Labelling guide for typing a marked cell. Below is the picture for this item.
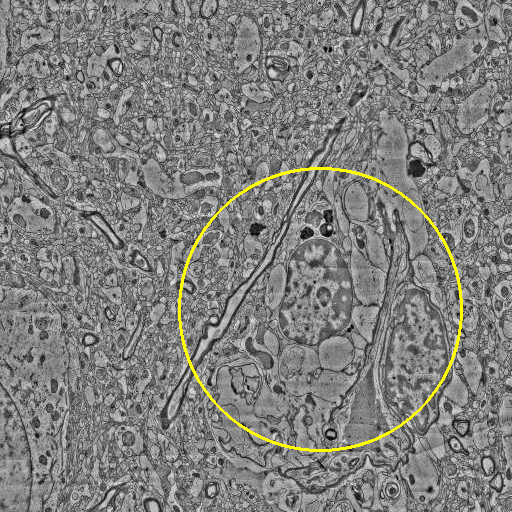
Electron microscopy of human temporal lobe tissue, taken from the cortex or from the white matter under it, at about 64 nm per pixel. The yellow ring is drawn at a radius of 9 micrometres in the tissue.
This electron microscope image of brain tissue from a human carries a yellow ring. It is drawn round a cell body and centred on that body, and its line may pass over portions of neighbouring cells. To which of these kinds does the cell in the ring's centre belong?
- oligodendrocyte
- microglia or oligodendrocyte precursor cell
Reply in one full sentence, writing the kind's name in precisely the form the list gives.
Here we have a microglial cell or oligodendrocyte precursor cell at the centre of the yellow ring in the picture.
